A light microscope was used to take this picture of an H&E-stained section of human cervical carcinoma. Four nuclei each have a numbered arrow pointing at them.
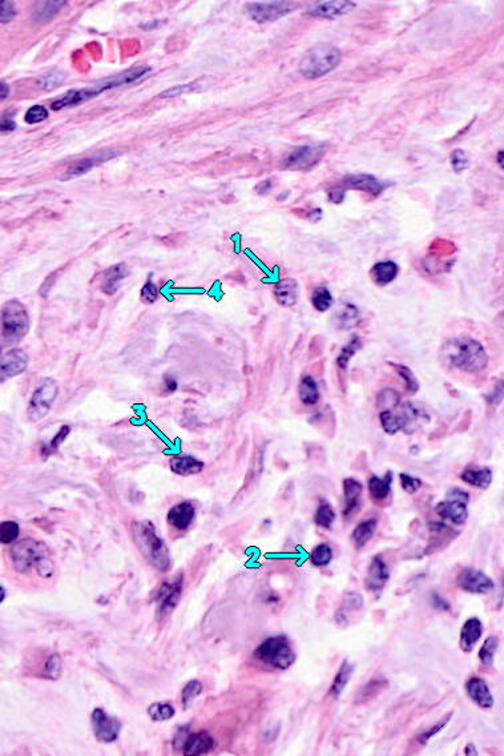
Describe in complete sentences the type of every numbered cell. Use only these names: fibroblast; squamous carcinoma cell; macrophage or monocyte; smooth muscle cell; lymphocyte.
Cell 1 is a macrophage or monocyte, cell 2 is a lymphocyte, cell 3 is a lymphocyte and cell 4 is a lymphocyte.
